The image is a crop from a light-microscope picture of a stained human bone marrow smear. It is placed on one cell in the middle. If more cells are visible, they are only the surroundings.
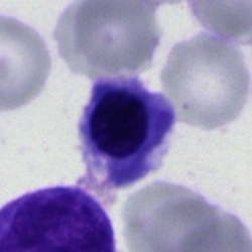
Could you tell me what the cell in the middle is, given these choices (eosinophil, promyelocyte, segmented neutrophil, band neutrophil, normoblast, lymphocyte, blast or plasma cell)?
normoblast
